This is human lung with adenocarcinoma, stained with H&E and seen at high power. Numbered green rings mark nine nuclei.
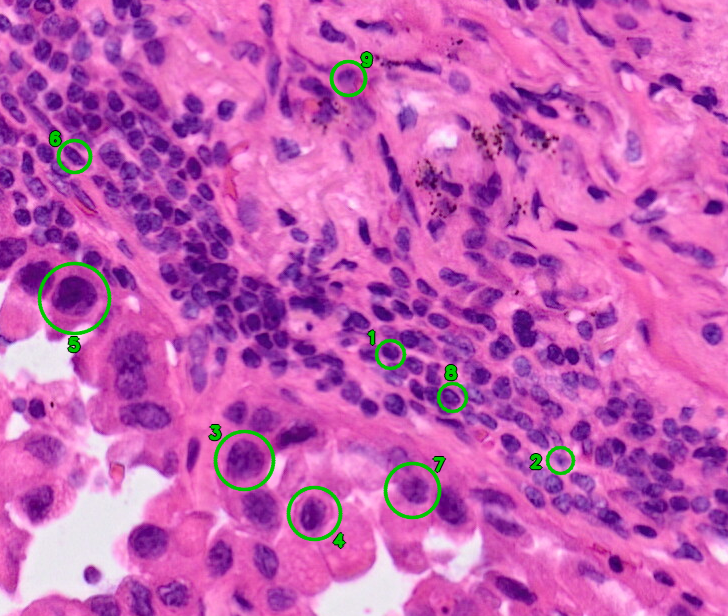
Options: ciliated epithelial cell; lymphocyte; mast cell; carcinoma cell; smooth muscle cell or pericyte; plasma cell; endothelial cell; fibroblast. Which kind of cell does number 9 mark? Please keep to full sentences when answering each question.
The cell numbered 9 has been identified as a plasma cell.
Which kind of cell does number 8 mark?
The one numbered 8 among the marked cells is a lymphocyte.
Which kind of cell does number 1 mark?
Of the numbered cells, the one labelled 1 is a lymphocyte.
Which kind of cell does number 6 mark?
Of the numbered cells, the one labelled 6 is a lymphocyte.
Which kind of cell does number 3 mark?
As for number 3, that cell is a carcinoma cell.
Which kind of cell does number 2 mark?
Among the marked cells, number 2 is a lymphocyte.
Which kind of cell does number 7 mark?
In this section, the cell tagged 7 is a carcinoma cell.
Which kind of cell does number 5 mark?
The cell that bears the number 5 is a carcinoma cell.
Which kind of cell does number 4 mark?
The cell whose nucleus carries the number 4 is a carcinoma cell.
